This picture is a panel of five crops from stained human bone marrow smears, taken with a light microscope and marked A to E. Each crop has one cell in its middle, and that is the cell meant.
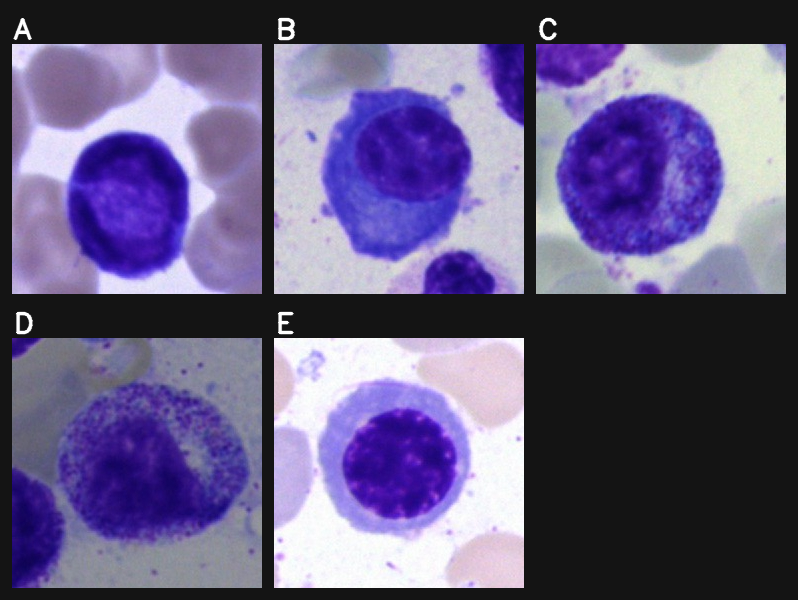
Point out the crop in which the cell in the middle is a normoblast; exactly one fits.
E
